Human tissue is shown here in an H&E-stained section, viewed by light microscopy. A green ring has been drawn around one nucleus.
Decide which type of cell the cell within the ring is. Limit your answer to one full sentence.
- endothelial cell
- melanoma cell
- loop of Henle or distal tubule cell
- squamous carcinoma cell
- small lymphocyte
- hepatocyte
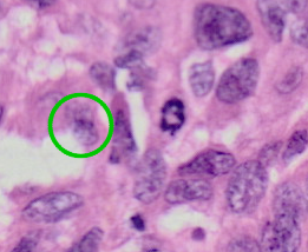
In this tissue section, the cell within the ring is to be classed as a melanoma cell.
